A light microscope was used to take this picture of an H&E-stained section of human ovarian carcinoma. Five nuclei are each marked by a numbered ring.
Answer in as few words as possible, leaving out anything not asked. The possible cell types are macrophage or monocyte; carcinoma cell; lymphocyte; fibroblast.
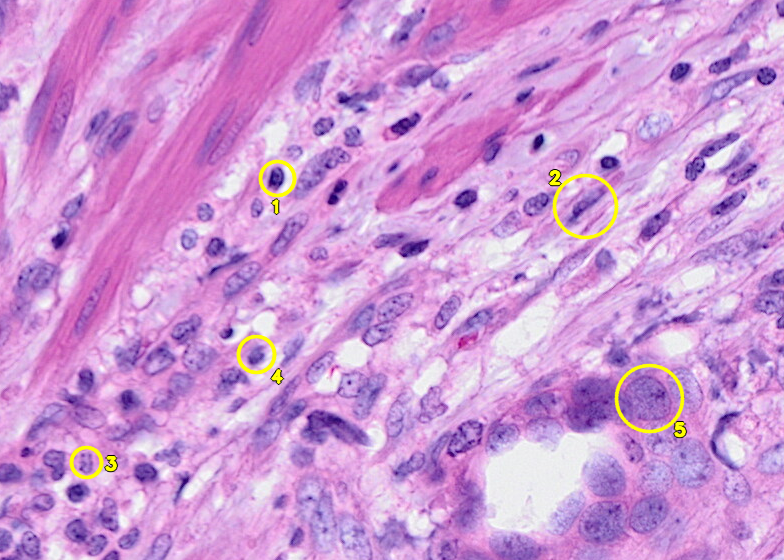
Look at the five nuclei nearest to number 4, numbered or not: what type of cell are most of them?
macrophage or monocyte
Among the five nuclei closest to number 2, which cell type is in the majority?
macrophage or monocyte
